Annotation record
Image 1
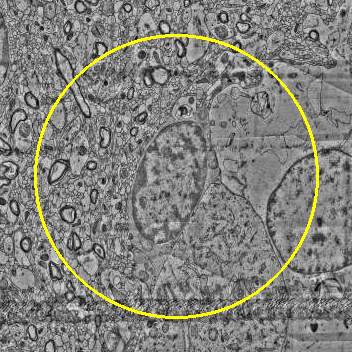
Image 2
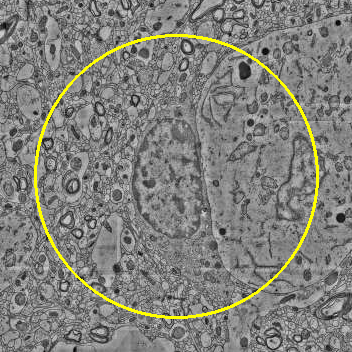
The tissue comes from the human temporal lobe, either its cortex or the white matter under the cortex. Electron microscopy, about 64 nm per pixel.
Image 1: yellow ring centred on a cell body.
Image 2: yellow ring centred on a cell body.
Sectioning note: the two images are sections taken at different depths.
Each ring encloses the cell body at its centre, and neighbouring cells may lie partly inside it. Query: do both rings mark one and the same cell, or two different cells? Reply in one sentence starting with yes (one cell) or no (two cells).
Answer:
No, the rings mark two cells rather than a single cell.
